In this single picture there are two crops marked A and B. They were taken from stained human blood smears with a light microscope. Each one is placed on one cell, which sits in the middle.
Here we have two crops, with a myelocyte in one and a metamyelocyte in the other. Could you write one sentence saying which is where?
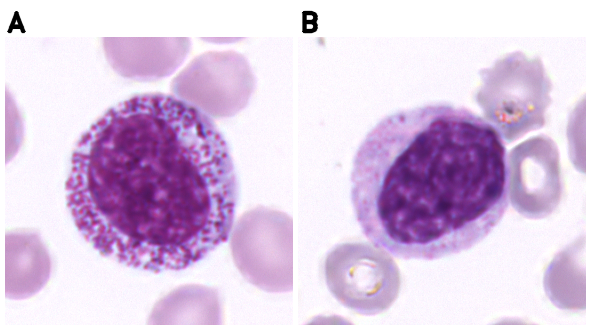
Crops A and B are, respectively, a myelocyte and a metamyelocyte.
